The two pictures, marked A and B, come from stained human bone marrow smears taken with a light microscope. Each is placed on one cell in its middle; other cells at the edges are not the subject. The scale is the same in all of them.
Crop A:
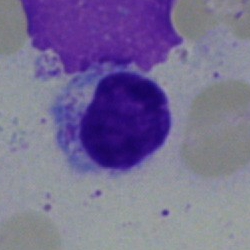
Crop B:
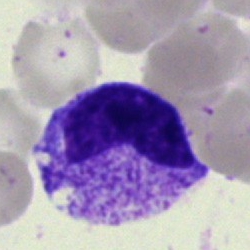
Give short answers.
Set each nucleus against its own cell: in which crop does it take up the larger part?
A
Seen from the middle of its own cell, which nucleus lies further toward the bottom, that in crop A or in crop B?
A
